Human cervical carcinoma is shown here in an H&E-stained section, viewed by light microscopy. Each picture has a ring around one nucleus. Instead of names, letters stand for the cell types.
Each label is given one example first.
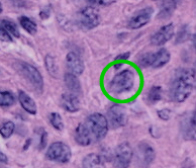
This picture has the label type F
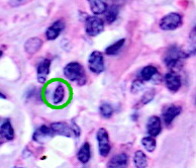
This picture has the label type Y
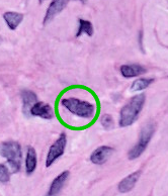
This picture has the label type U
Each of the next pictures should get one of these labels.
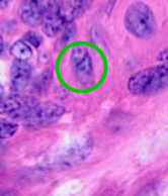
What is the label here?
type F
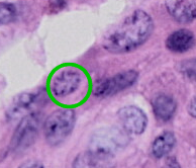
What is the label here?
type F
